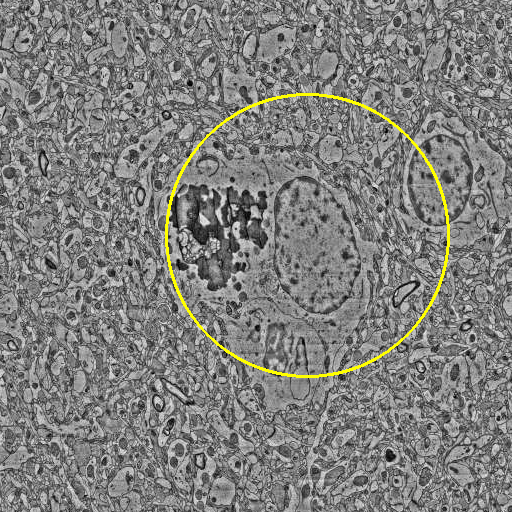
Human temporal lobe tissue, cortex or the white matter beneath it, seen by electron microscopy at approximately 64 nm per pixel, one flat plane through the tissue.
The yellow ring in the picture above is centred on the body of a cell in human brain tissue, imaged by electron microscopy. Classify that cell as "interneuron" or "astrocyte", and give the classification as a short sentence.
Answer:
The cell in the middle of the ring is an astrocyte.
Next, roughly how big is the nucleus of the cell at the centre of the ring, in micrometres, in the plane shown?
In this plane the nucleus is clearly longer than it is wide: roughly 9 by 6 micrometres.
